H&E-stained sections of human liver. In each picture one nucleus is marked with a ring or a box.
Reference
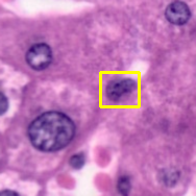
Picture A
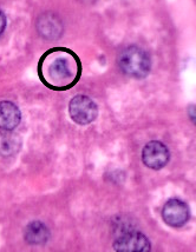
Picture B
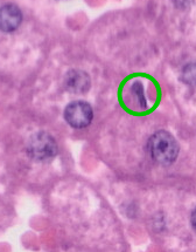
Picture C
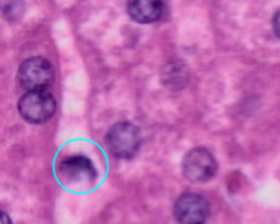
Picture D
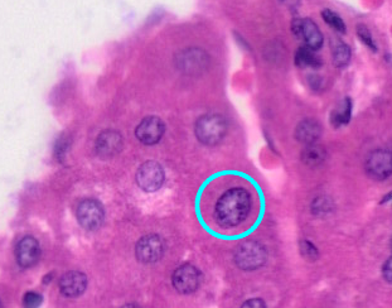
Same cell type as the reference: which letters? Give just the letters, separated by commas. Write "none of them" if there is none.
A, B, C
